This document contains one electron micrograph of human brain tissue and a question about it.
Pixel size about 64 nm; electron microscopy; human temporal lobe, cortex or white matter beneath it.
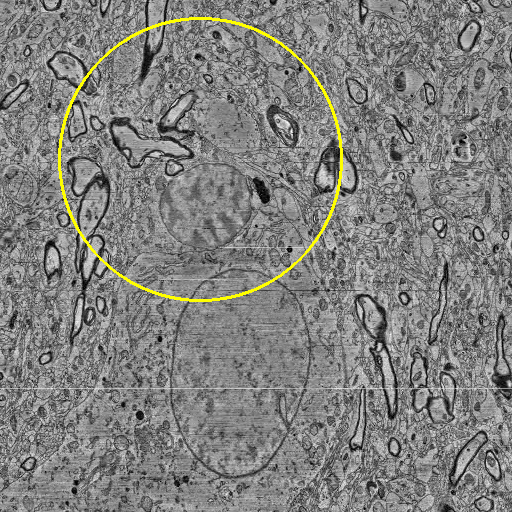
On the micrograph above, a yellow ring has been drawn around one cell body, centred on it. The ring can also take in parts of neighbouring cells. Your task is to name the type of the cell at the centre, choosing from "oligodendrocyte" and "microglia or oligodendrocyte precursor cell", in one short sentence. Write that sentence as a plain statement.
Here the ring is centred on an oligodendrocyte.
